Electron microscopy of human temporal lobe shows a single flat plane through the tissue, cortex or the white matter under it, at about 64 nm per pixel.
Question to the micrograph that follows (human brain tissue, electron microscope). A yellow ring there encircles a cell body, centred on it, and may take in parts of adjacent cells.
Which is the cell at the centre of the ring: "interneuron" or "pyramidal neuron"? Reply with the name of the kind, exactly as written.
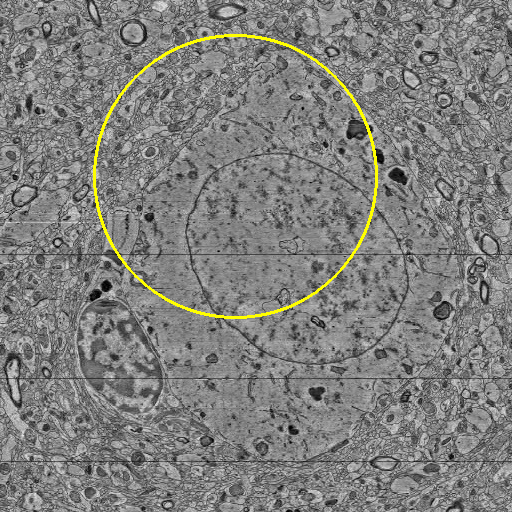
pyramidal neuron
